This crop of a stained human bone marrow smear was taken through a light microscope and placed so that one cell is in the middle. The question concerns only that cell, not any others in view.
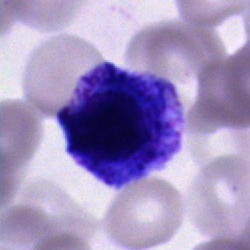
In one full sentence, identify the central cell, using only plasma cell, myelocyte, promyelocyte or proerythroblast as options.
Present in the middle of the crop is a promyelocyte.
